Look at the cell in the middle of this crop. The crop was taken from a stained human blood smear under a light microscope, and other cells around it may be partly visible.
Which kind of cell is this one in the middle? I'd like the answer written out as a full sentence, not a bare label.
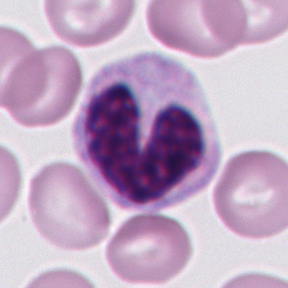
For this crop, the cell in the middle is a band neutrophil.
